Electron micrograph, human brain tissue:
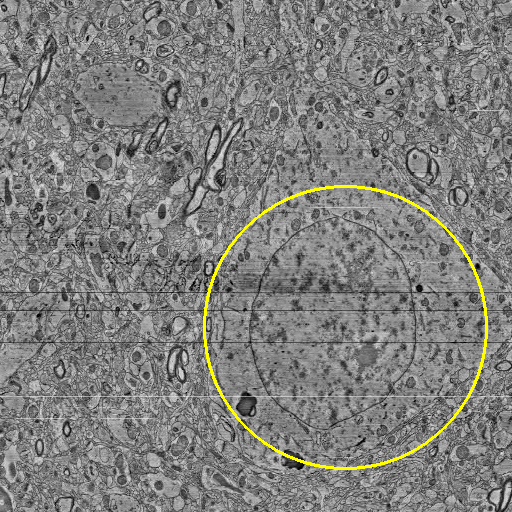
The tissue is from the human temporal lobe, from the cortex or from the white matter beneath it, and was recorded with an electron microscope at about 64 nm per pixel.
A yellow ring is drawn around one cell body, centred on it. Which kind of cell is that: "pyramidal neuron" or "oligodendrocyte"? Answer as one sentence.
It is a pyramidal neuron at the centre of the ring.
